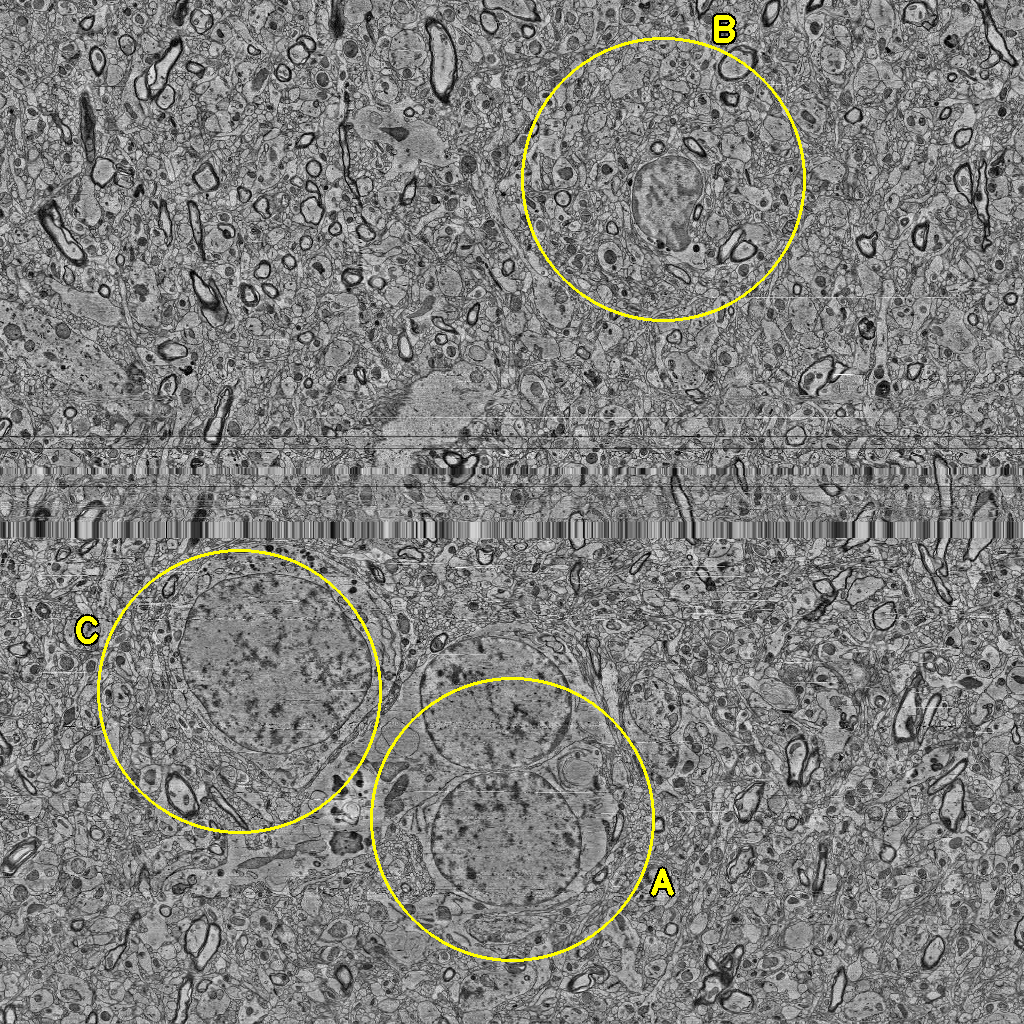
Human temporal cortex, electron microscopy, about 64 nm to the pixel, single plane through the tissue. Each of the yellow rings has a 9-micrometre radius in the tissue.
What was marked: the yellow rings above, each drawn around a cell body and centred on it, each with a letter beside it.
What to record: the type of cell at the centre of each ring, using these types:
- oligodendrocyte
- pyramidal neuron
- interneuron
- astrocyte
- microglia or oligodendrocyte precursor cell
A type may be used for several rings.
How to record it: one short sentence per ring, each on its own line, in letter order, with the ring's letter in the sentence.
Centred in ring A is an astrocyte.
Centred in ring B is a microglial cell or oligodendrocyte precursor cell.
Centred in ring C is a pyramidal neuron.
